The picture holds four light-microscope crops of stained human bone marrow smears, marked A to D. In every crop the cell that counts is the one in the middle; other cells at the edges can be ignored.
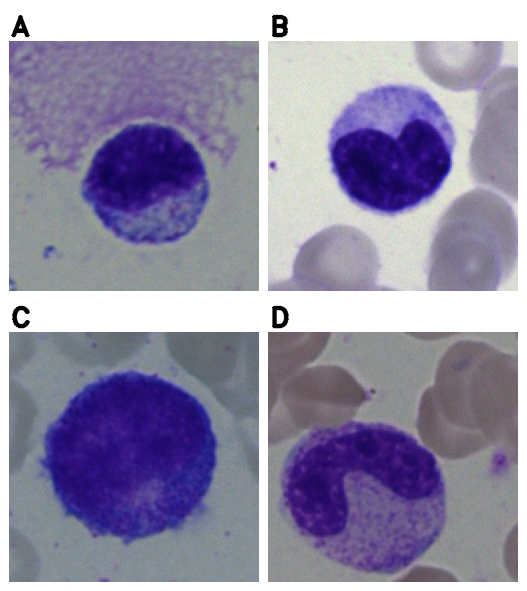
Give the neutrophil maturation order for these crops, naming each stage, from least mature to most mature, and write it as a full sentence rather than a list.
The correct order from least to most mature is crop C (a promyelocyte), crop A (a myelocyte), crop B (a metamyelocyte) and crop D (a band neutrophil).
